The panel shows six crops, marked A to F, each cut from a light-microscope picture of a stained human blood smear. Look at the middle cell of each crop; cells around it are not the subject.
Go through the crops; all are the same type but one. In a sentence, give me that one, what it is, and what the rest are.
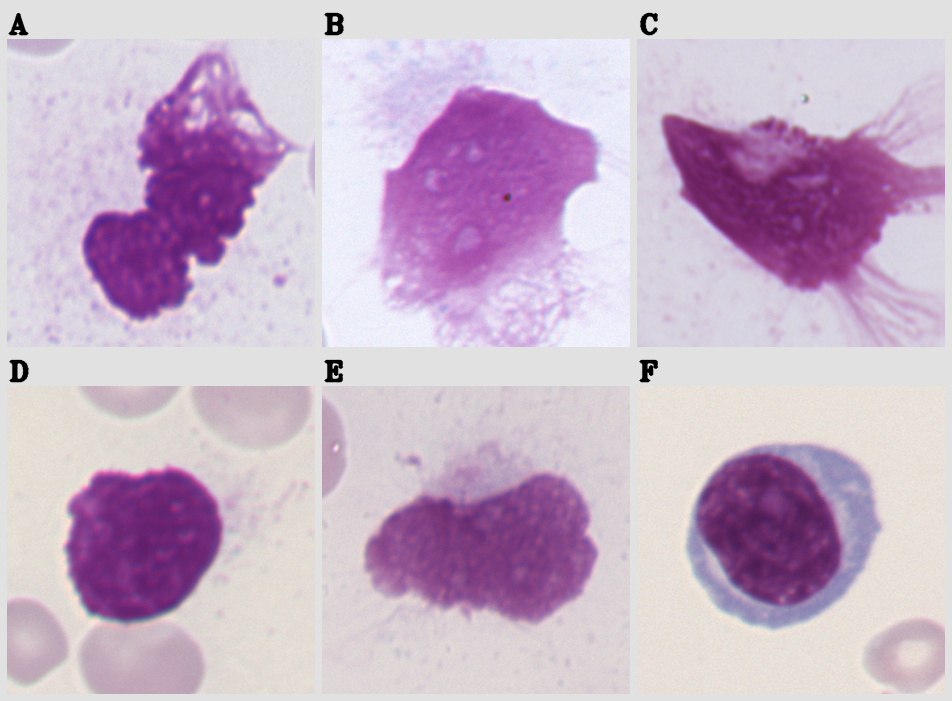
Unlike the other crops, all showing smudge cells, crop F is a typical lymphocyte.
